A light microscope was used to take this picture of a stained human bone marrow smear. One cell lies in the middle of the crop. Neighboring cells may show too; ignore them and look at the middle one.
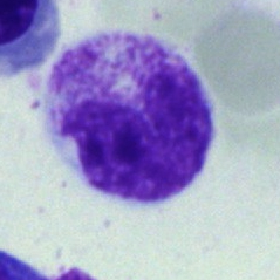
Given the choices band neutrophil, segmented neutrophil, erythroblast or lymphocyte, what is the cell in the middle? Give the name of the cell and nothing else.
band neutrophil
